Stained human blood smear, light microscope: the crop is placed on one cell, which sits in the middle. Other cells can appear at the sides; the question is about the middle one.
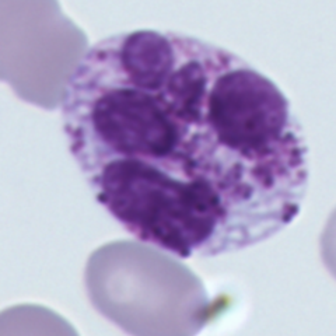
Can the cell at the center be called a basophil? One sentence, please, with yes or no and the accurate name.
Yes, the cell at the centre of this crop is identified as a basophil.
